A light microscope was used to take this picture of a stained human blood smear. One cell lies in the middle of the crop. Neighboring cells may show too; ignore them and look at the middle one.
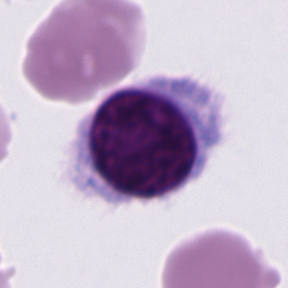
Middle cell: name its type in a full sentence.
The middle of this crop holds a hairy cell.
